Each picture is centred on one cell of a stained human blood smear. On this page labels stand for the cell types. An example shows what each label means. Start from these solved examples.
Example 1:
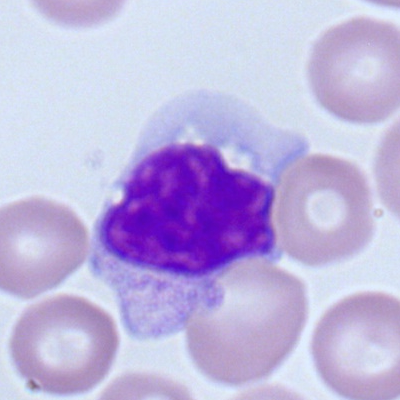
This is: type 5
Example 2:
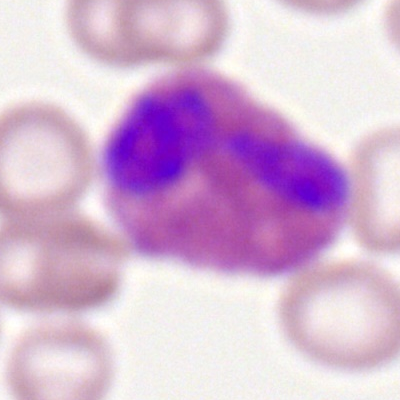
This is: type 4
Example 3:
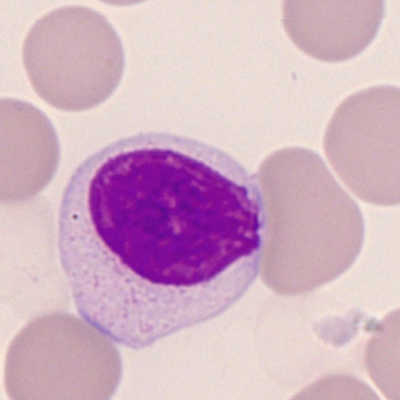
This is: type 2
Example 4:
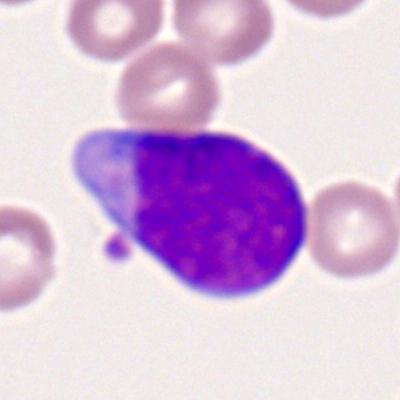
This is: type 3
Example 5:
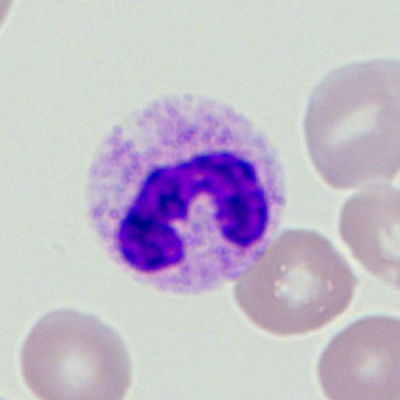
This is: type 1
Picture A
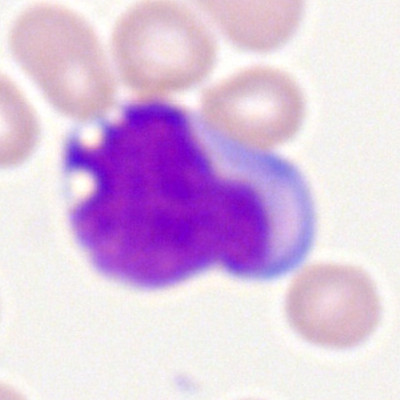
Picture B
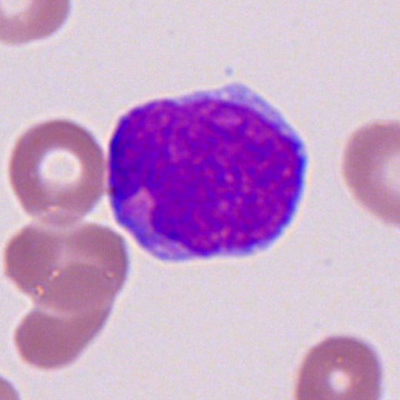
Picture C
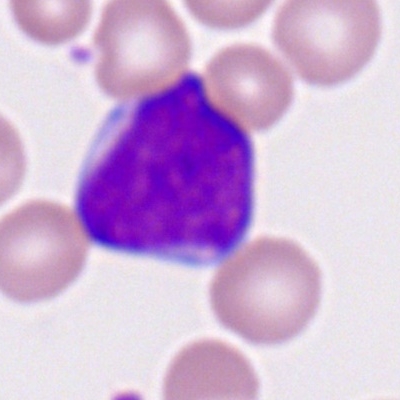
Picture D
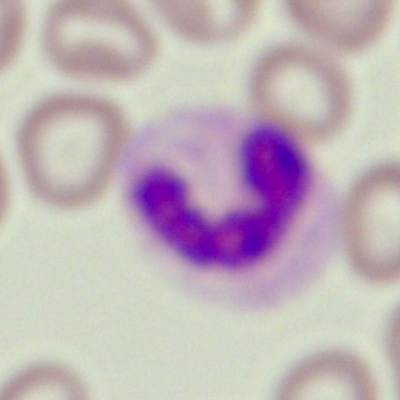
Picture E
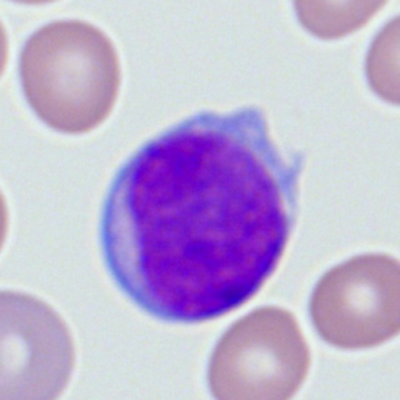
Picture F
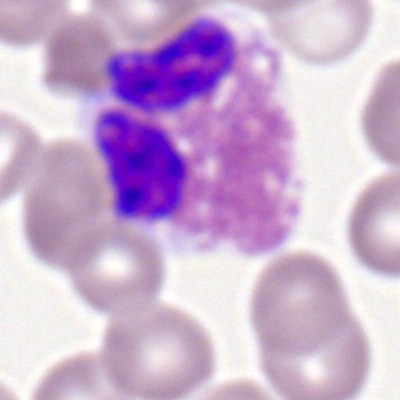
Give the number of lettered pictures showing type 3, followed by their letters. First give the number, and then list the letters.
Count: 4 (A, B, C, E)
